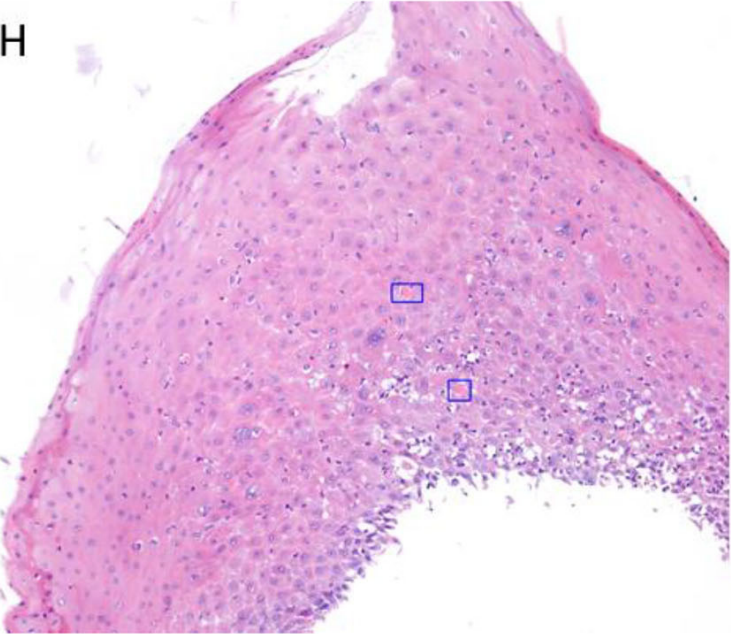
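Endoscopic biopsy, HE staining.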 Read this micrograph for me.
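Stratified squamous epithelium is seen without underlying stroma, its polygonal cells with abundant pink cytoplasm and round central nuclei becoming flatter toward the surface, where a thin band of denser pink cells forms the outer edge. Toward the lower, basal side the cells are smaller and more crowded, with darker nuclei. Many small, dark, irregular nuclei of infiltrating lymphocytes lie between the squamous cells, mostly in the lower layers, some within small clear spaces. Two small blue boxes enclose rounded, intensely pink bodies lying among the keratinocytes in the mid to lower epithelium.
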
